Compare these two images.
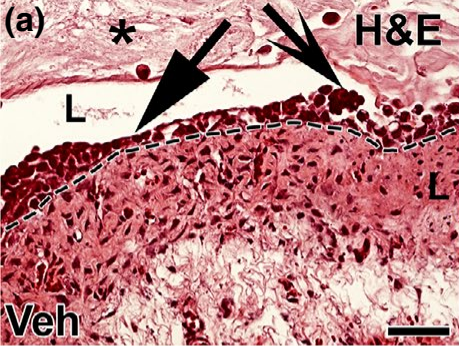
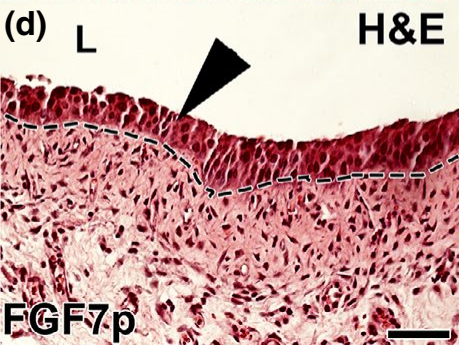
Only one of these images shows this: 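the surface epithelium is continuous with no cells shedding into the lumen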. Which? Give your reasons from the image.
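The second image. First image: rounded cells bulge and detach from the surface, and loose debris fills the lumen.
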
